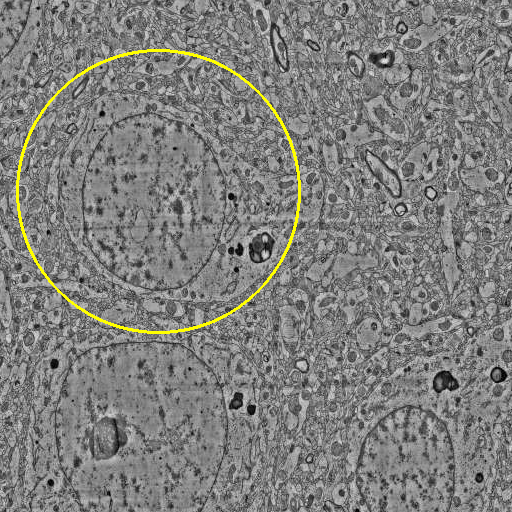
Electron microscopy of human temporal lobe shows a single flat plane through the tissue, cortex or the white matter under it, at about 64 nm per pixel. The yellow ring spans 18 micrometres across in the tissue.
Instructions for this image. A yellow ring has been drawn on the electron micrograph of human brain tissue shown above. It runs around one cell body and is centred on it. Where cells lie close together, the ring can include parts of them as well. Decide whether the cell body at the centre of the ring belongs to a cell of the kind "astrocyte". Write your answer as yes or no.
no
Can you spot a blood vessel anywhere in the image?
No, no blood vessel can be seen.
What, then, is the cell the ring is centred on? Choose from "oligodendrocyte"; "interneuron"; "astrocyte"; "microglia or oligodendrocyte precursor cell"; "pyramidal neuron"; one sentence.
The correct answer is that the cell is a pyramidal neuron.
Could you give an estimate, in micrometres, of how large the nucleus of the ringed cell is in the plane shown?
In this plane, about 11 micrometres in length and 10 in width.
